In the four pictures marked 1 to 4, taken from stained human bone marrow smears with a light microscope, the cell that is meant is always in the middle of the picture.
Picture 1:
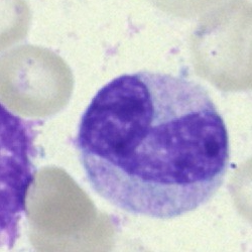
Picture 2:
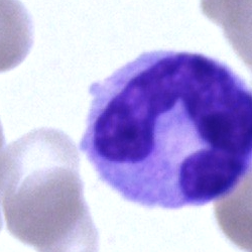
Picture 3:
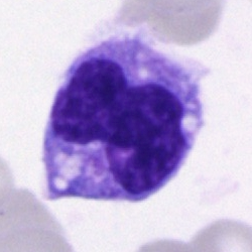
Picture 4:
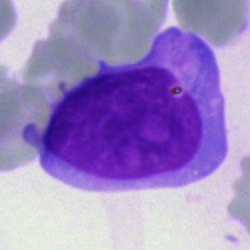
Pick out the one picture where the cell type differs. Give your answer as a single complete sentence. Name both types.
Picture 4 is the odd one out: it shows a blast, while the others show monocytes.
